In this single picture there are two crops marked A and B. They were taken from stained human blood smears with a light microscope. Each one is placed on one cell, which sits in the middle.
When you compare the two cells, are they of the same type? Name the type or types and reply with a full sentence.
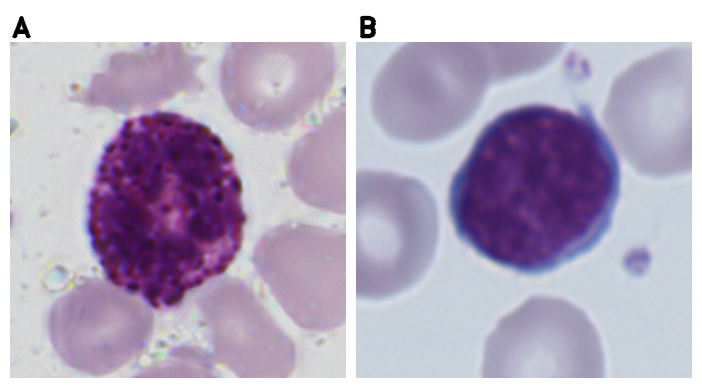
No, a basophil is what crop A shows, and a typical lymphocyte is what crop B shows.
